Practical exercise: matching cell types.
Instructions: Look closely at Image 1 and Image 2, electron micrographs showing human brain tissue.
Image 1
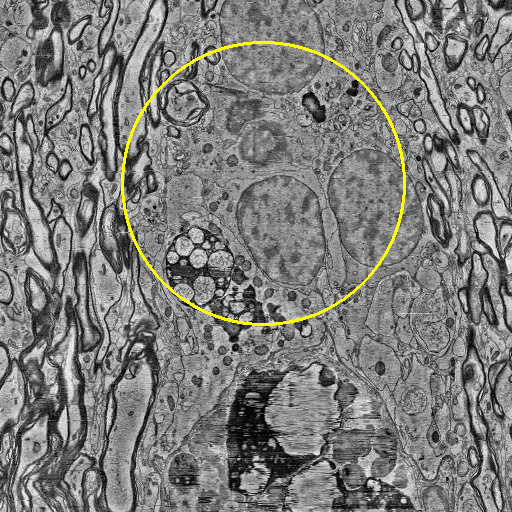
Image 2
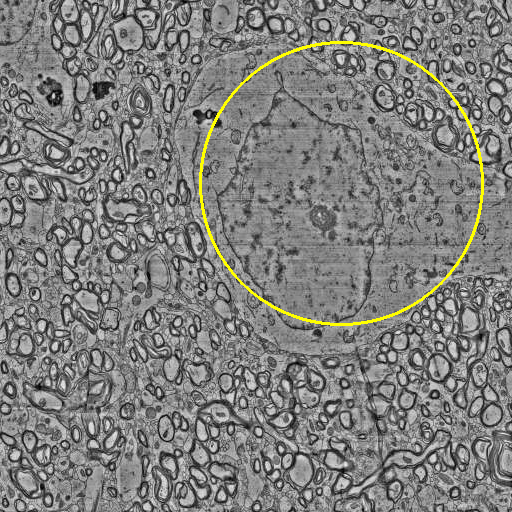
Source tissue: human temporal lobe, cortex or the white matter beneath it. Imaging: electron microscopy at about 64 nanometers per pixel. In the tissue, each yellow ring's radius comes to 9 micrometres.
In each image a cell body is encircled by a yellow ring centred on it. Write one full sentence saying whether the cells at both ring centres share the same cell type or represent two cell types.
Across Image 1 and Image 2, the cells at the ring centres represent two cell types.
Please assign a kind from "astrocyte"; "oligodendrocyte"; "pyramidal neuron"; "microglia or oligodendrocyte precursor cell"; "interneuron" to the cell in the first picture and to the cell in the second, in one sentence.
In the first picture we have an oligodendrocyte, and in the second, a pyramidal neuron.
